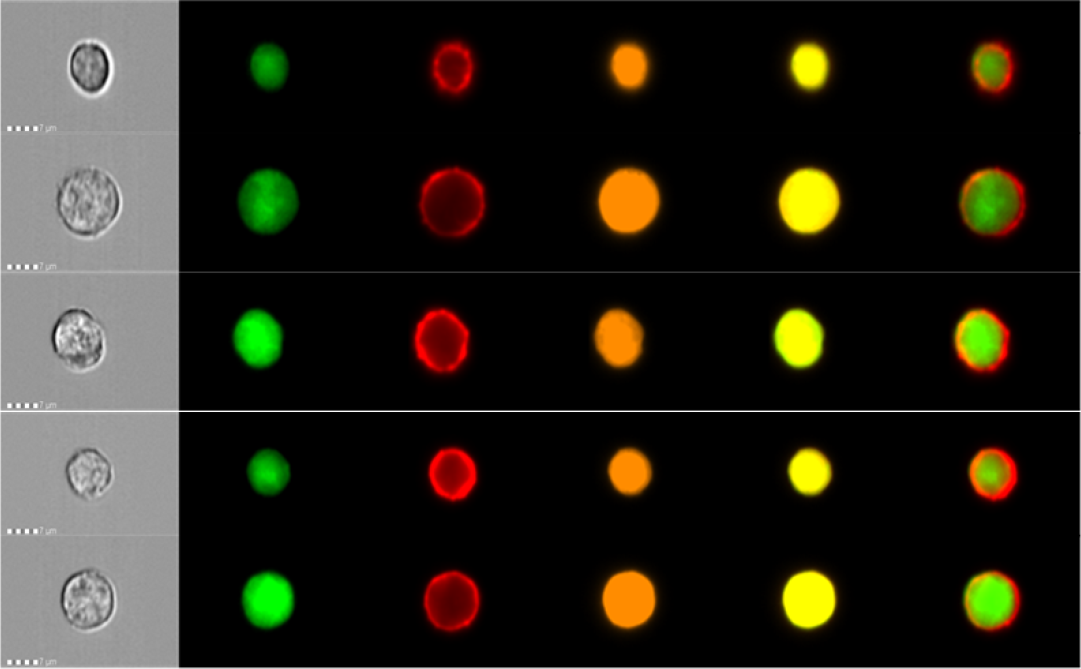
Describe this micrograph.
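In brightfield the cells are small, round to slightly oval, with a smooth outline and finely granular interior. The green channel gives an evenly filled disc covering the whole cell body. The red channel is a crisp ring at the periphery with a dim centre. The orange channel is again a filled disc; its overlay with green turns uniformly yellow. In the green-red overlay, green occupies the interior and the red ring encircles it at the rim. Cell size varies somewhat between rows.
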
